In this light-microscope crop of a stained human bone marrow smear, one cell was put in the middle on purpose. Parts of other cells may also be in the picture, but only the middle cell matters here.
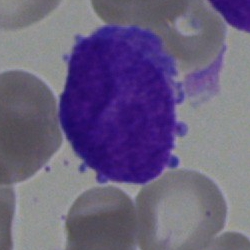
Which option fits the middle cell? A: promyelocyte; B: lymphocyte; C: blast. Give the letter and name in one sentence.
The one cell at the centre is a blast, as correctly stated in option C.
